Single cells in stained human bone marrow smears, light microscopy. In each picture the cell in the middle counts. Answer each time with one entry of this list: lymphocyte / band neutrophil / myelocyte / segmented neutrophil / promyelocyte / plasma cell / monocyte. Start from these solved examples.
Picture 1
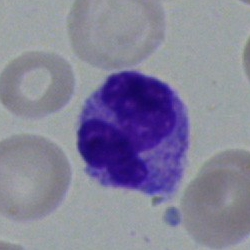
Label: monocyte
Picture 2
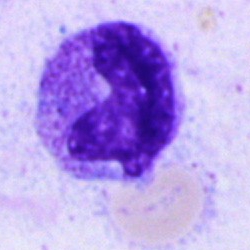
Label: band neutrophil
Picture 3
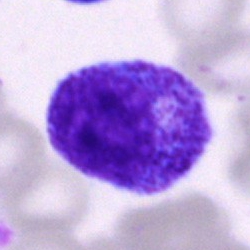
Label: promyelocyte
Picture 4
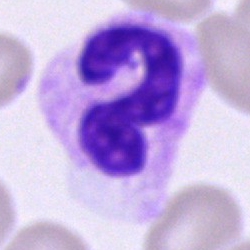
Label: band neutrophil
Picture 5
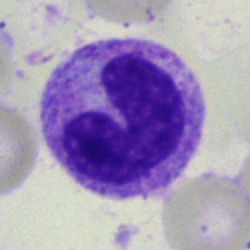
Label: band neutrophil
